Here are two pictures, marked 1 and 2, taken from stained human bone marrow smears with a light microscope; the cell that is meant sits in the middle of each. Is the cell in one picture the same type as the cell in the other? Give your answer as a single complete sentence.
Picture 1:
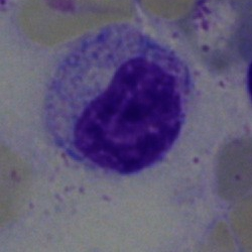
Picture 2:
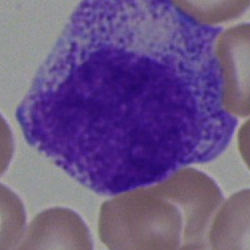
Yes, the two pictures both show myelocytes.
